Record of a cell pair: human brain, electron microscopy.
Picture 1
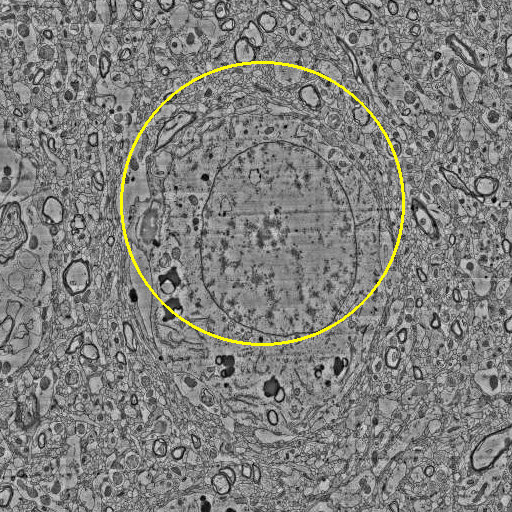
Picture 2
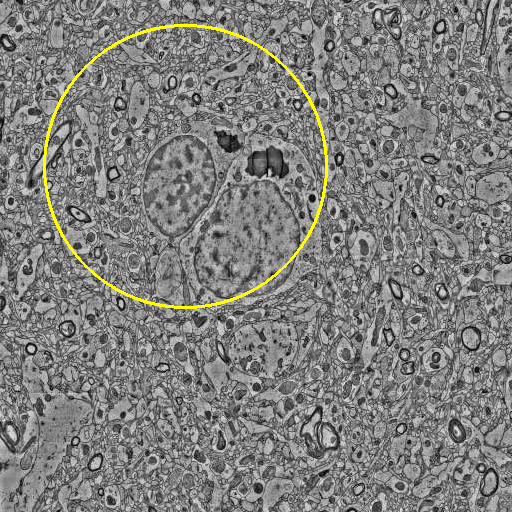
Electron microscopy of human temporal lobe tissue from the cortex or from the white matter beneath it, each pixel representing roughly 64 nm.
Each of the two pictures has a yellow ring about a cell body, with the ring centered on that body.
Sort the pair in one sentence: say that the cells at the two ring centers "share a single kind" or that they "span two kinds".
The cells centered in the rings of Pictures 1 and 2 span two kinds.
